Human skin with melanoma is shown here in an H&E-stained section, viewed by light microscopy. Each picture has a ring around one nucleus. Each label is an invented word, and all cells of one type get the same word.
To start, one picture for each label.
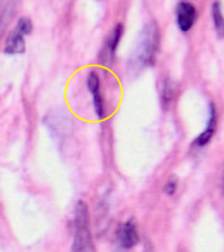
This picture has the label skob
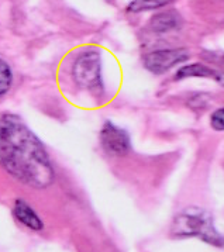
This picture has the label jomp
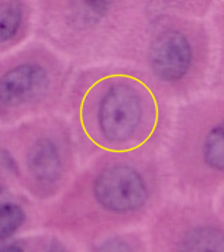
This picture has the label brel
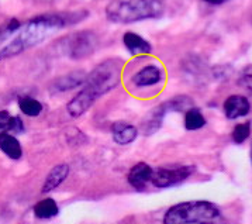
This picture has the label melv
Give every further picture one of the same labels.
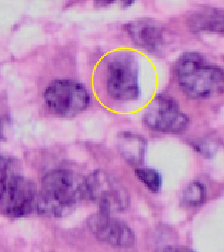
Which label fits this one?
jomp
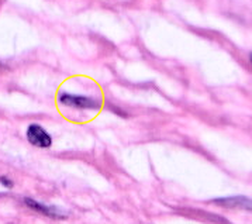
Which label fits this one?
skob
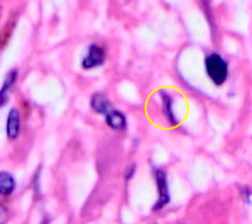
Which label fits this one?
skob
